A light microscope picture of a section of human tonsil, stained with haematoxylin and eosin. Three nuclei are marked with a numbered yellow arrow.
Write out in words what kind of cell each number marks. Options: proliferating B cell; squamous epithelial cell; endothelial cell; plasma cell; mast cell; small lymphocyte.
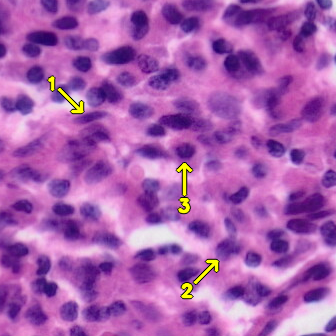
Cell 1 is a squamous epithelial cell, cell 2 is a squamous epithelial cell and cell 3 is a plasma cell.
